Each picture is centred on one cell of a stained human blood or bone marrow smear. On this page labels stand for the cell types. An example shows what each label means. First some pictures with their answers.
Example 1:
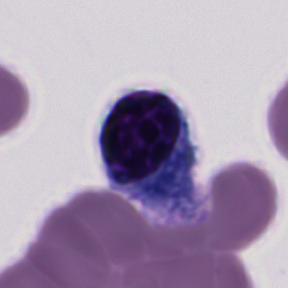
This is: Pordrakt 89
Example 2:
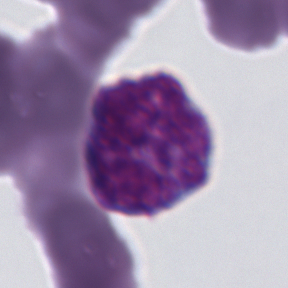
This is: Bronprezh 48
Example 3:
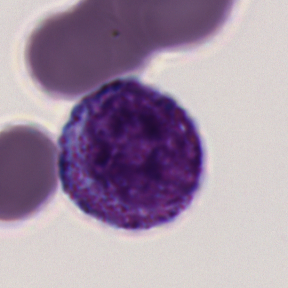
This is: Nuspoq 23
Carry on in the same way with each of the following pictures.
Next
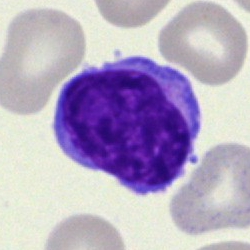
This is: Bronprezh 48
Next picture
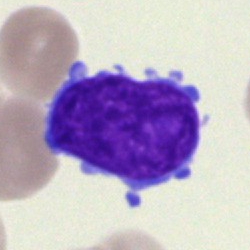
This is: Bronprezh 48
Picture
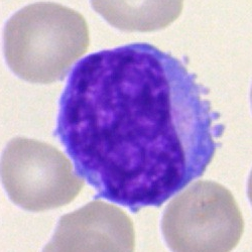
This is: Bronprezh 48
